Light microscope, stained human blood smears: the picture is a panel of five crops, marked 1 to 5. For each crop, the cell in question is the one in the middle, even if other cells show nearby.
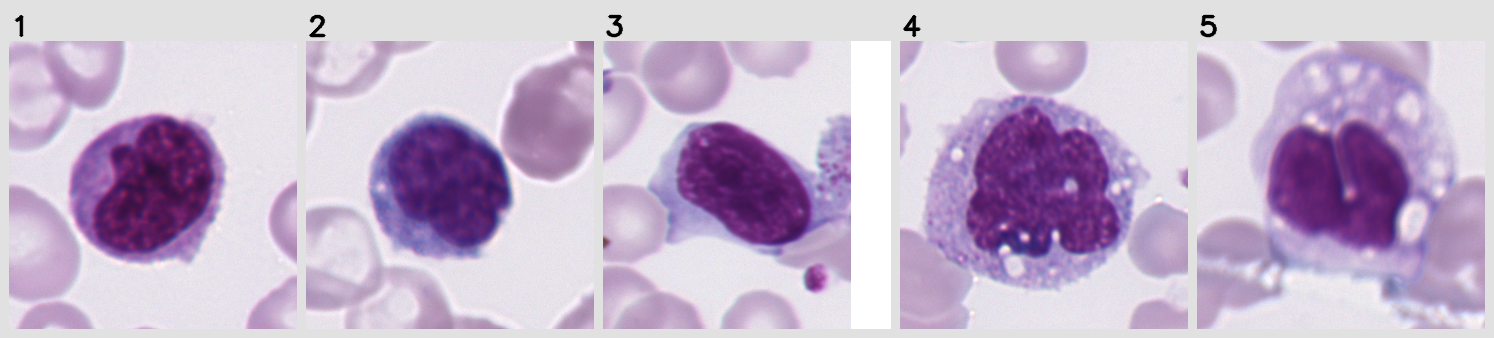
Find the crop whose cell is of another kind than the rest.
3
